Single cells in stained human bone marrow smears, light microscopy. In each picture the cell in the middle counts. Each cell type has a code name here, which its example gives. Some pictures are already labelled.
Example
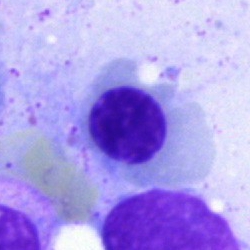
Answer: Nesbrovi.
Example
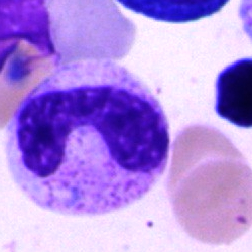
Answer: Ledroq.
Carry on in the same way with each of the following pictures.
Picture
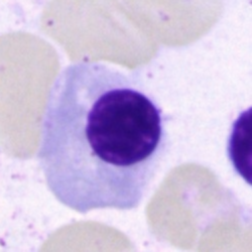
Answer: Nesbrovi.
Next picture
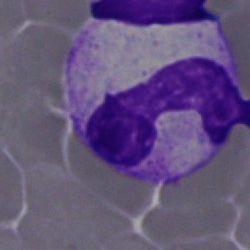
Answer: Ledroq.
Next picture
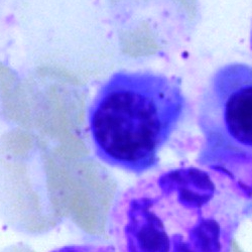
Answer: Nesbrovi.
